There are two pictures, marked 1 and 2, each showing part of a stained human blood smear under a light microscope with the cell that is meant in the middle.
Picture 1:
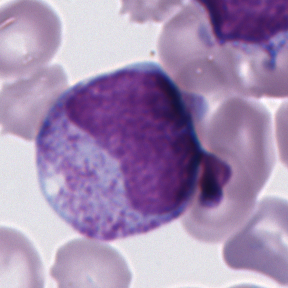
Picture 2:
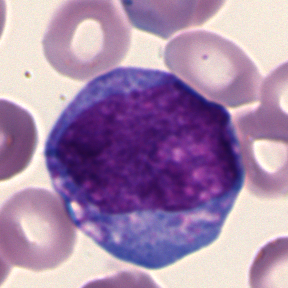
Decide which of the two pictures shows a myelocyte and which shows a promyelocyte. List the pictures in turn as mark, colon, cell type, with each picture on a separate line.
1: myelocyte
2: promyelocyte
